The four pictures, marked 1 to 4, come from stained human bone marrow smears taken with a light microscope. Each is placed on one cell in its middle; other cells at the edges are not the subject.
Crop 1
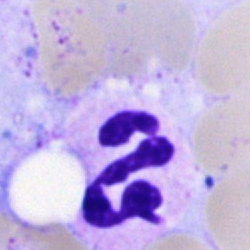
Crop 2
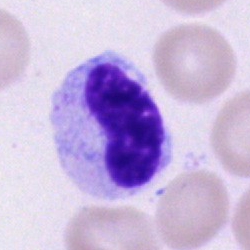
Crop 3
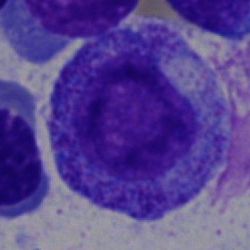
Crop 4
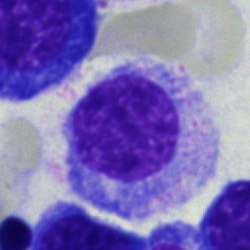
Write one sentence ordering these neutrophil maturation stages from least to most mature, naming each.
The maturation sequence, earliest to latest, reads crop 3 (a promyelocyte), crop 4 (a myelocyte), crop 2 (a band neutrophil) and crop 1 (a segmented neutrophil).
